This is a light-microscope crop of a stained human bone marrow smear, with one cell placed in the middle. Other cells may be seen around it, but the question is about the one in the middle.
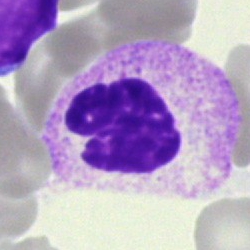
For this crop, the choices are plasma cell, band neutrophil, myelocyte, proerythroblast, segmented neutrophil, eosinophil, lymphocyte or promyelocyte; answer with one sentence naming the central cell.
This crop has a segmented neutrophil at its centre.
